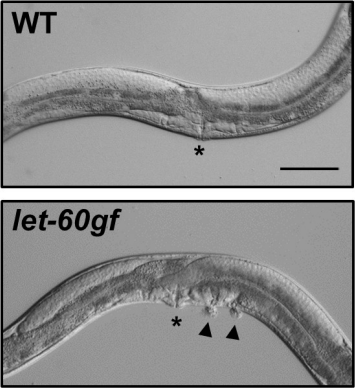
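Side views of two nematode worms at mid-body, with a granular band of gut running along each body. In the upper worm a single small notch on the ventral edge marks the vulva. In the lower worm, besides the vulva, two separate knob-like bulges protrude from the ventral body wall.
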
